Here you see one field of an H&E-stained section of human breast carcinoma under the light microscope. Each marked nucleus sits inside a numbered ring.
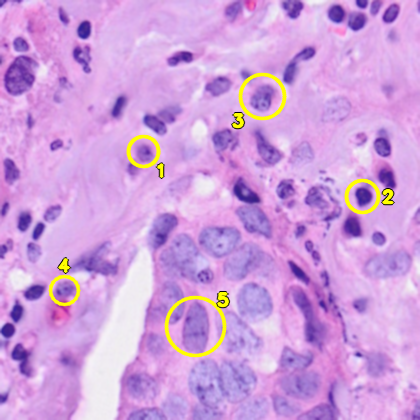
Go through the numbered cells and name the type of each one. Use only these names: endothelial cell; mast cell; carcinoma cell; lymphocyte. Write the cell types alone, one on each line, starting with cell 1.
mast cell
lymphocyte
mast cell
endothelial cell
carcinoma cell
